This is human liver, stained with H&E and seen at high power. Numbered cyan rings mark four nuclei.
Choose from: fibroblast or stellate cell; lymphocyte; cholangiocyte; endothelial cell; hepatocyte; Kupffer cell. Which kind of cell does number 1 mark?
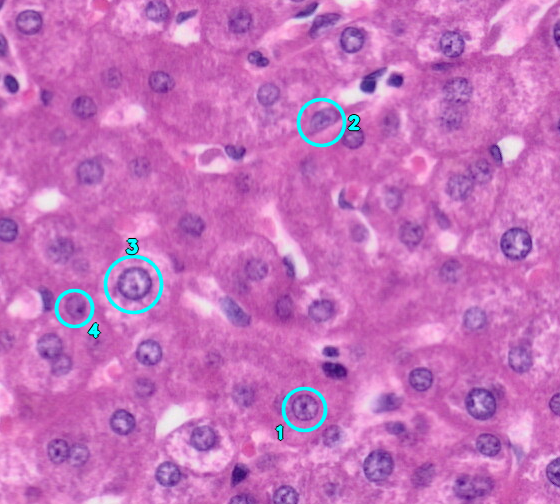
hepatocyte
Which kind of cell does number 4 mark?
hepatocyte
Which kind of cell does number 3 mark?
hepatocyte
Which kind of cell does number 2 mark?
Kupffer cell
